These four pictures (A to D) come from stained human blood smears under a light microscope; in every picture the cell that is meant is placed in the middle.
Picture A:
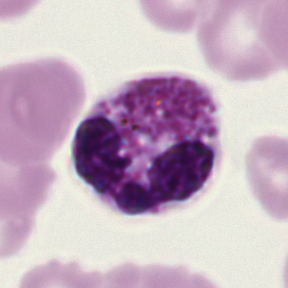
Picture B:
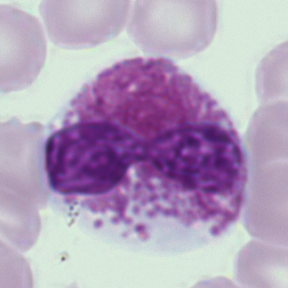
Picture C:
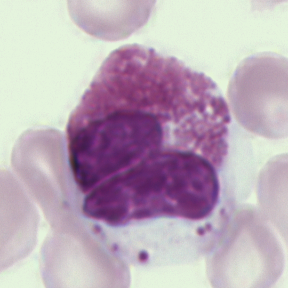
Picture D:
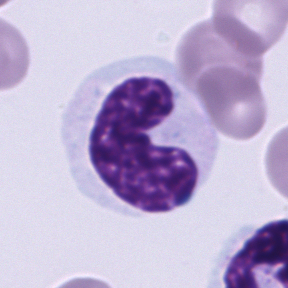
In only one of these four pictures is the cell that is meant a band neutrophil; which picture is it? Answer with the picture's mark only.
D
